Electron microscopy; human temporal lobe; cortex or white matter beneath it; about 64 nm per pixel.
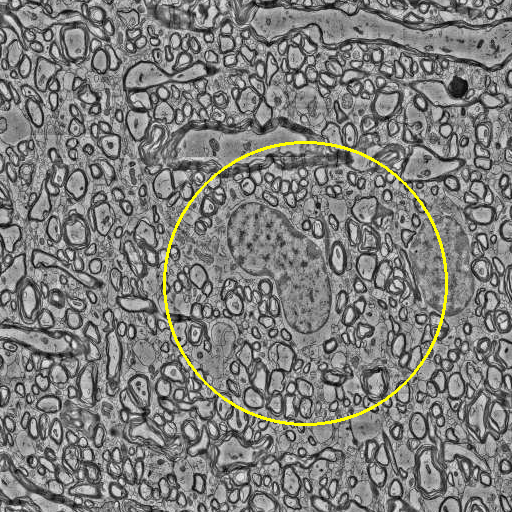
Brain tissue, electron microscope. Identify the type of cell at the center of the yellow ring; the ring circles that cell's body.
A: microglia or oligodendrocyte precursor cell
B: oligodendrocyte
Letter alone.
A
